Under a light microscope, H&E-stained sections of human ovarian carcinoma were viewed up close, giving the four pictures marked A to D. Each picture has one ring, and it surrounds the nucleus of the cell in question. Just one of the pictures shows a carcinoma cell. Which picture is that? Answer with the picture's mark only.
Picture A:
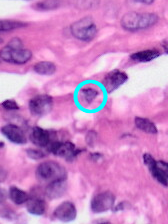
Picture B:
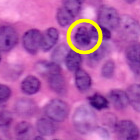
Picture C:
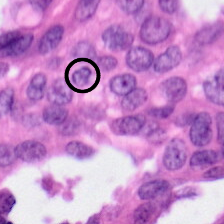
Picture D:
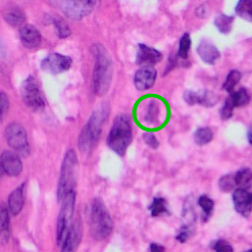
B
